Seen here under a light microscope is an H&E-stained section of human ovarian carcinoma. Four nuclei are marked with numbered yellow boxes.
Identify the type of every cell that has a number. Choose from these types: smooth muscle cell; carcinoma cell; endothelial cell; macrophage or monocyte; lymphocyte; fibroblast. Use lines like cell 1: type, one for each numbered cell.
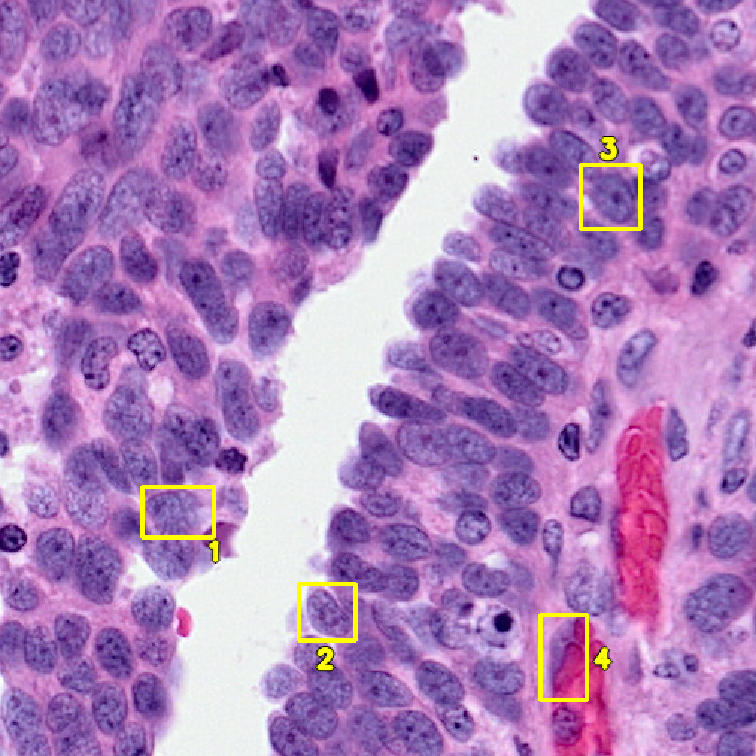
cell 1: carcinoma cell
cell 2: carcinoma cell
cell 3: carcinoma cell
cell 4: endothelial cell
